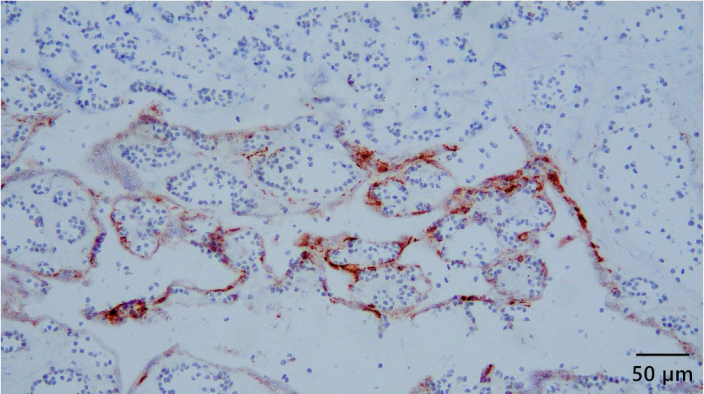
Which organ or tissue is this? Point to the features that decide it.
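Placental villi. Many rounded and branching tissue profiles of varied size are cut in section. The profiles are separated by pale, nearly empty spaces. Each profile holds a core with numerous small blue nuclei.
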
